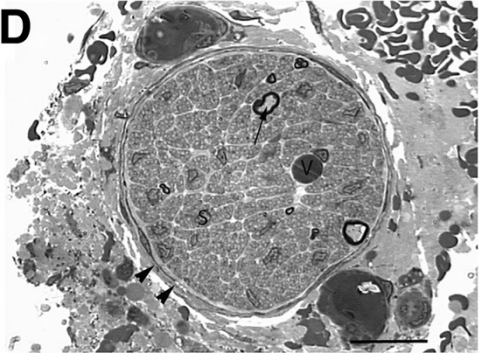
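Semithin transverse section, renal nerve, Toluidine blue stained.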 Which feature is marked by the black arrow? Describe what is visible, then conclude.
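The arrow marks a profile with a thick dark ring. Few such ringed profiles are present in the fascicle. On this evidence: myelinated fibers.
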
